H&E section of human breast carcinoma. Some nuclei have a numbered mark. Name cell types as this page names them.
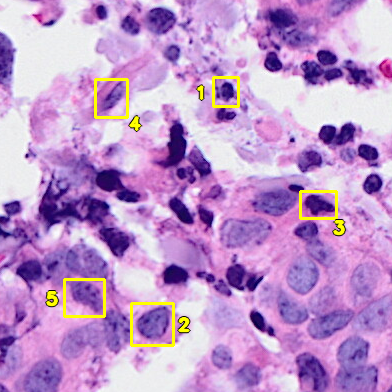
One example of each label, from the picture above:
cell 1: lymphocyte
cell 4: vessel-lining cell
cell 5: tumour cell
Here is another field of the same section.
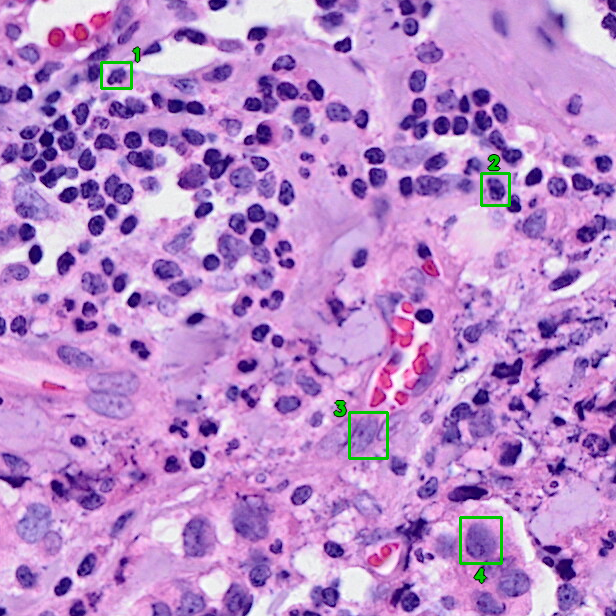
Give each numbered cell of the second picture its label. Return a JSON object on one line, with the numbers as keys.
{"1": "lymphocyte", "2": "lymphocyte", "3": "vessel-lining cell", "4": "tumour cell"}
